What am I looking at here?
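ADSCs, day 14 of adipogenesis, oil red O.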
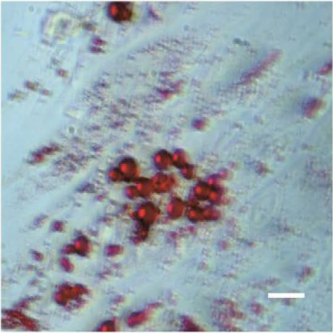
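Flattened, pale cultured cells lie on the dish, and within them sit many round, glossy droplets stained deep red, gathered in clusters with smaller red droplets scattered around. The droplets are sharply bounded and refractile, unlike the faintly outlined unstained cytoplasm around them.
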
